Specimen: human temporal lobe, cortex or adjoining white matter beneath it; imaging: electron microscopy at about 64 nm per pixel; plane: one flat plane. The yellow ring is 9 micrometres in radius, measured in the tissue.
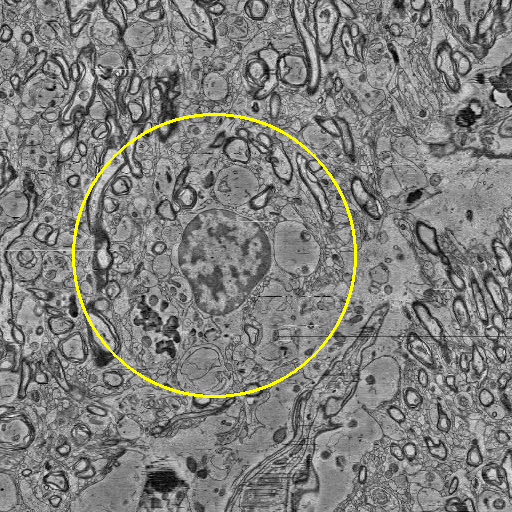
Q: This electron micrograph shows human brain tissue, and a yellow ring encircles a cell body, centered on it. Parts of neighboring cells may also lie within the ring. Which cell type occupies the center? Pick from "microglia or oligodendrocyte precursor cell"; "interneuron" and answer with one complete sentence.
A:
What sits at the ring's center in this micrograph is a microglial cell or oligodendrocyte precursor cell, among those choices.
